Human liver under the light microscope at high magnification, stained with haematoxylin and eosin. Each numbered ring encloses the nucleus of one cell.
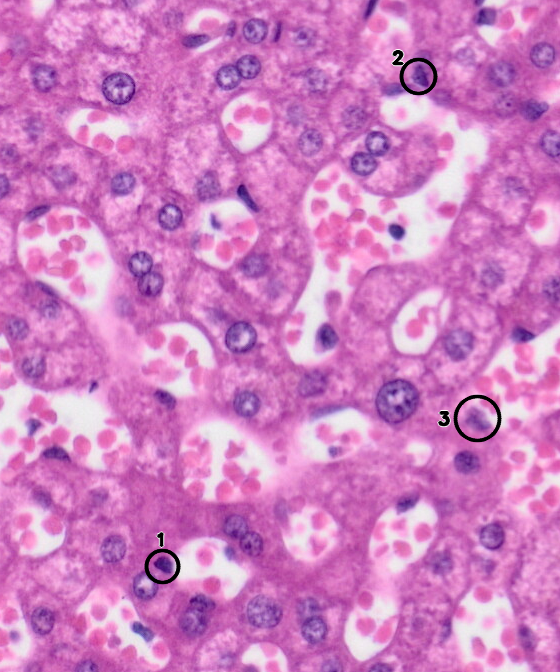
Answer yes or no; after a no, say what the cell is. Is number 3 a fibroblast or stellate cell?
No, it is an endothelial cell.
